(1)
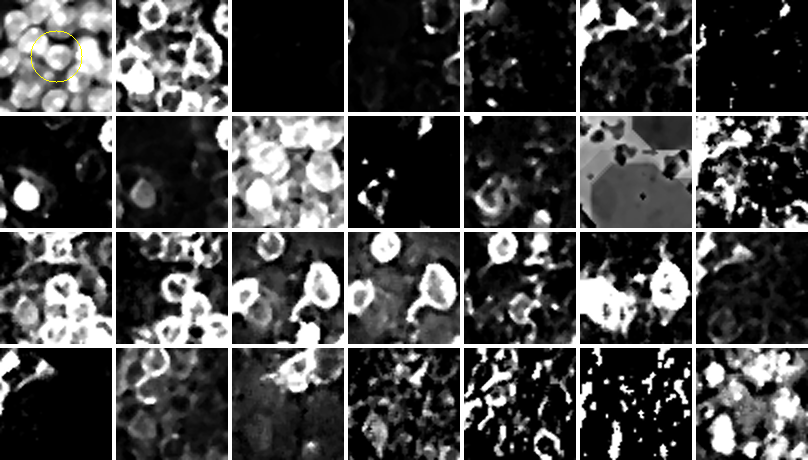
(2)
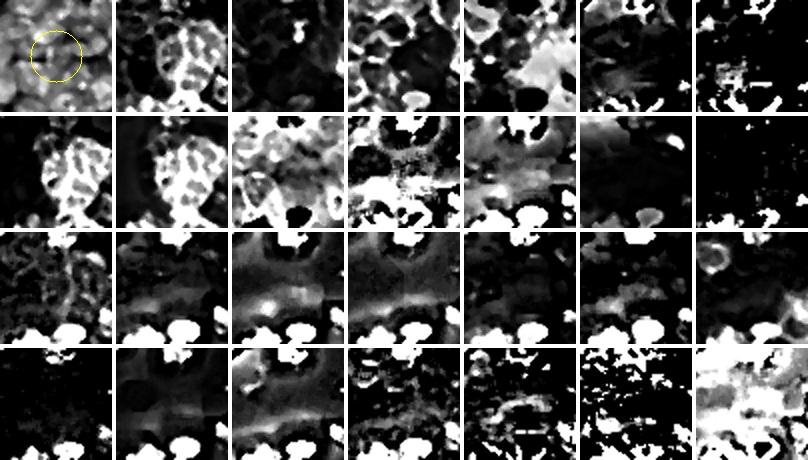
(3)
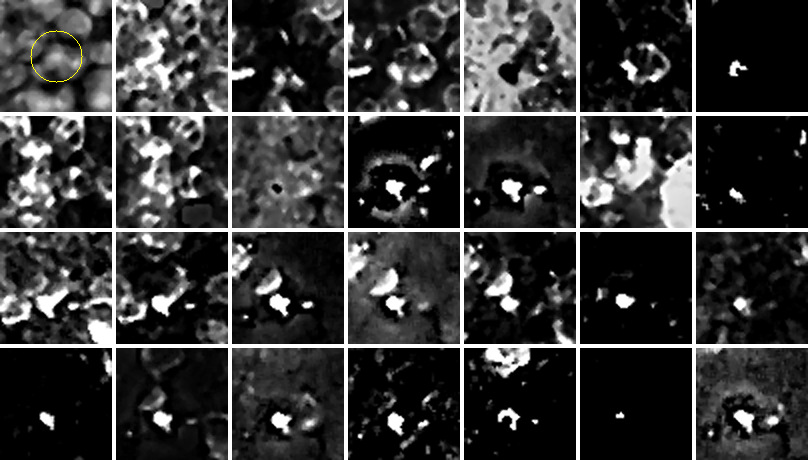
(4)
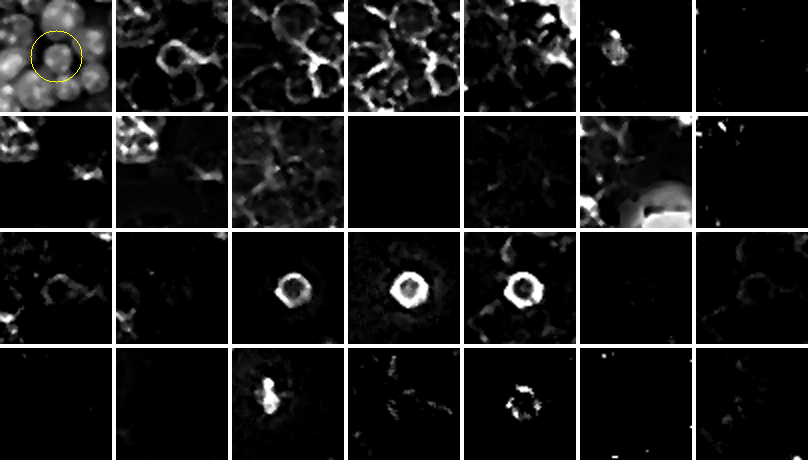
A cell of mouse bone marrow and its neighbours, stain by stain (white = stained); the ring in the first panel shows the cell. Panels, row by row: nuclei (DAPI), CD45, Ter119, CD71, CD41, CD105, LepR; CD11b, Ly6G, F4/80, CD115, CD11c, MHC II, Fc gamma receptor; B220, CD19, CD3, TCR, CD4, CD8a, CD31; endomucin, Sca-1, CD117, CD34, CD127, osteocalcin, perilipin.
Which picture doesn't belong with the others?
Picture 4.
